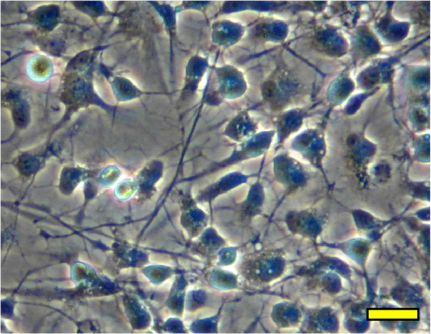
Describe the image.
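Thin, long processes extend from the cell bodies in many directions and cross each other, forming a loose network between the scattered cells. Several rounded, phase-bright cells are interspersed.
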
